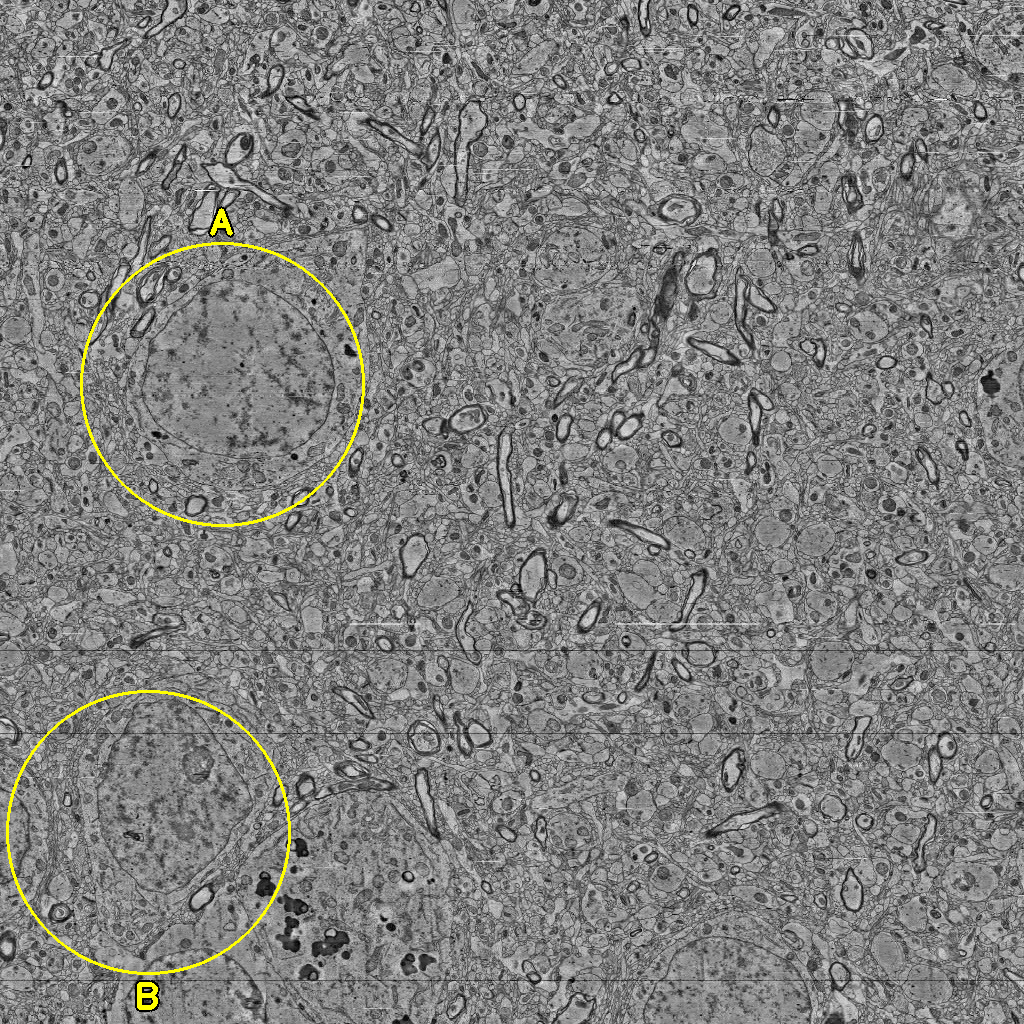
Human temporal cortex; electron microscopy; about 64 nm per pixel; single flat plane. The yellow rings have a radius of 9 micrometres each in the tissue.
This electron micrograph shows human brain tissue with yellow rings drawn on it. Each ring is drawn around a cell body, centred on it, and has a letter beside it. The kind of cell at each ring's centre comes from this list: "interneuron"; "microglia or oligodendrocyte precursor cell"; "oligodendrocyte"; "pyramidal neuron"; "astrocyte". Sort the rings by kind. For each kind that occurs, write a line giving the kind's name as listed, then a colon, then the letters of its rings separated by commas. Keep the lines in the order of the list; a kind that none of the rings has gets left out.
interneuron: B
pyramidal neuron: A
